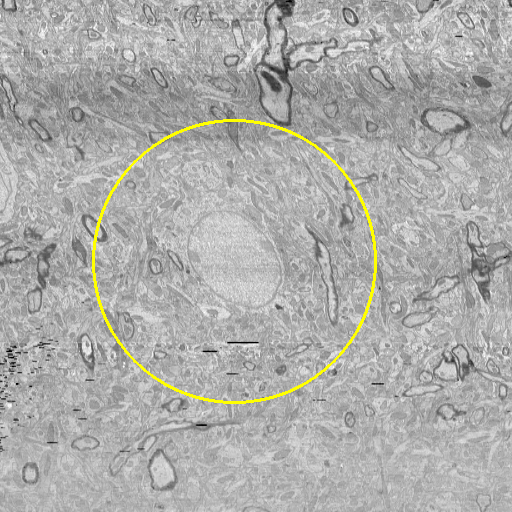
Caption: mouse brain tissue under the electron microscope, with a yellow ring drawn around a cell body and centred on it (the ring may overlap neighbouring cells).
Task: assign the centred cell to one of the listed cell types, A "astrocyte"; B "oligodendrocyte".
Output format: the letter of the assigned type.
A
